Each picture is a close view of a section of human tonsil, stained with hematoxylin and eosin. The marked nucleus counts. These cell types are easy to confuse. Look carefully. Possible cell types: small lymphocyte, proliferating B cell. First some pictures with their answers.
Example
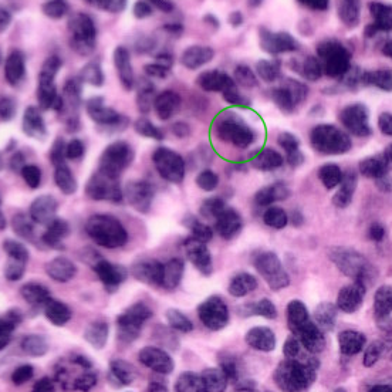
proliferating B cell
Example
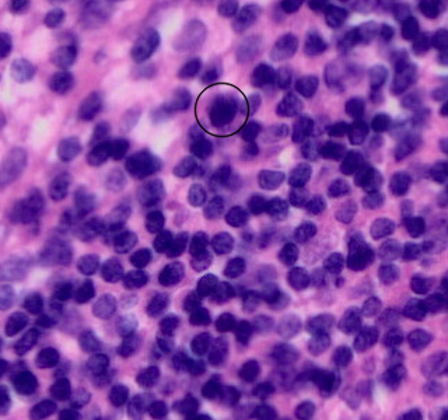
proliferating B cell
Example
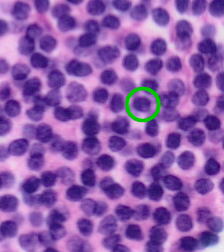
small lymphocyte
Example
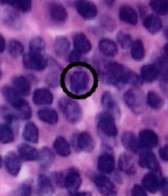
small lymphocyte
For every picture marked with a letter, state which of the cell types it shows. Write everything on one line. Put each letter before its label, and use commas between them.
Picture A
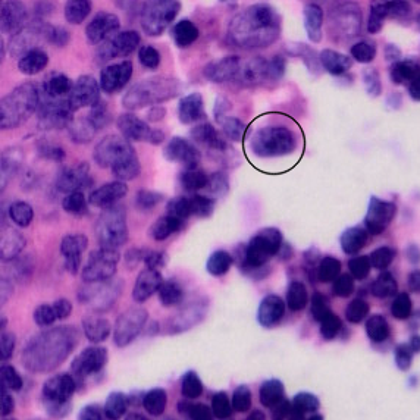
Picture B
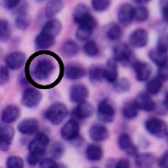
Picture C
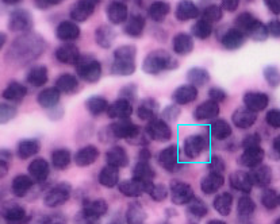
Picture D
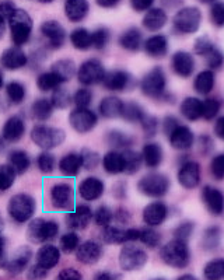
A proliferating B cell, B small lymphocyte, C small lymphocyte, D small lymphocyte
